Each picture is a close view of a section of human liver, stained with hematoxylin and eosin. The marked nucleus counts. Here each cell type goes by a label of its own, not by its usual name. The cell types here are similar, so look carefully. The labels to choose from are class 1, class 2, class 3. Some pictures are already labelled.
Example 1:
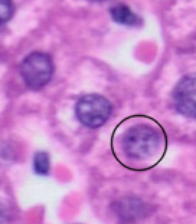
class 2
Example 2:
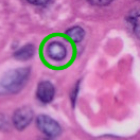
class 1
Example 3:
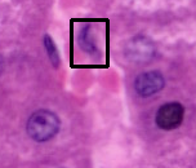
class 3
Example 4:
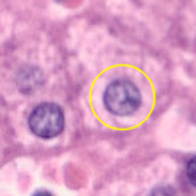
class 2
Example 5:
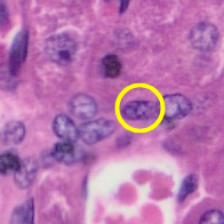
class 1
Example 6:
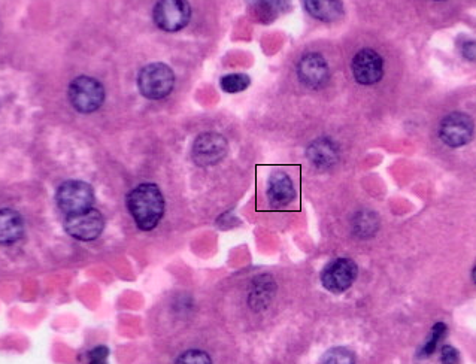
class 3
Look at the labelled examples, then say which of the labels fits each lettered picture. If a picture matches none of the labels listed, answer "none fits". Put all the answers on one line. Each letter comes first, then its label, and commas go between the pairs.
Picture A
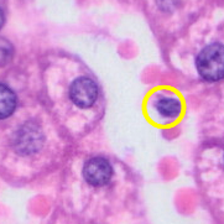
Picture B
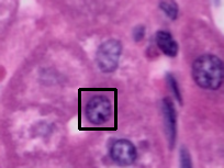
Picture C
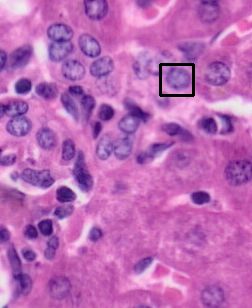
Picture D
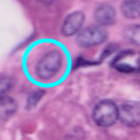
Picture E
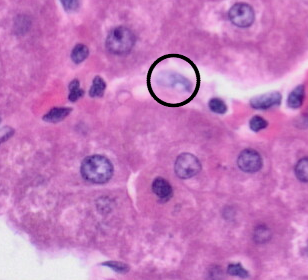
A none fits, B class 2, C class 1, D class 1, E class 3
